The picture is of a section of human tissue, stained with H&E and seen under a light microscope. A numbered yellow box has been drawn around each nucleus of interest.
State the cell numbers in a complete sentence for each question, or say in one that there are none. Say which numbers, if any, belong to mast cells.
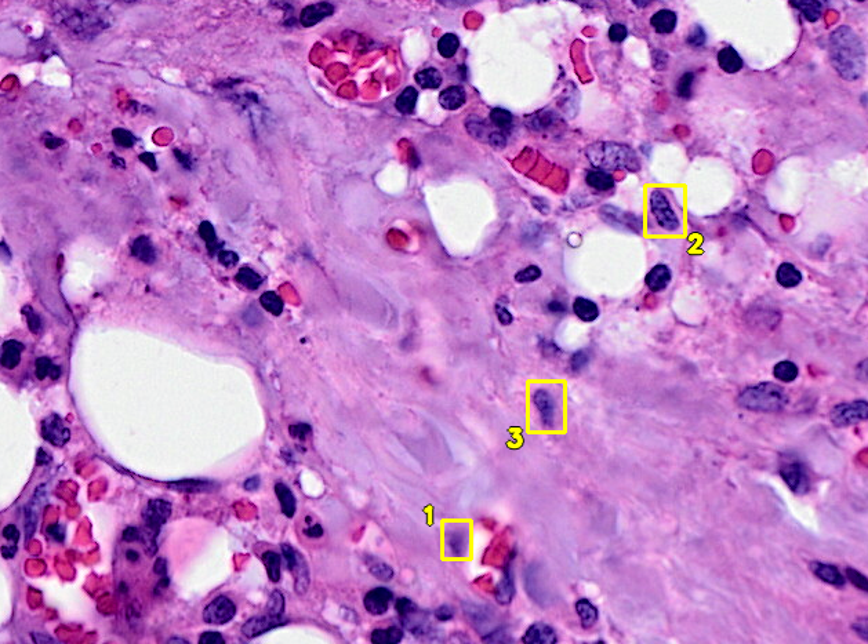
The cells that bear the numbers 2 and 3 are mast cells.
